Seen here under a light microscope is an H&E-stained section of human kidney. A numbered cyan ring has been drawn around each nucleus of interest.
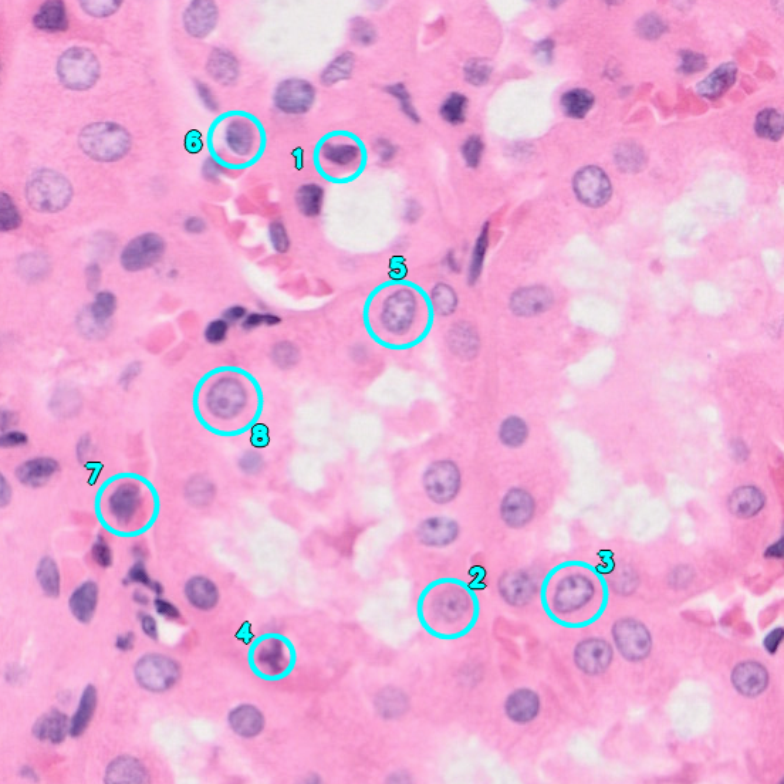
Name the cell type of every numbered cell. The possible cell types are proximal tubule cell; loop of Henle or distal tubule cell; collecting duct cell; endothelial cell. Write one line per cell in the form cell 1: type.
cell 1: loop of Henle or distal tubule cell
cell 2: proximal tubule cell
cell 3: proximal tubule cell
cell 4: proximal tubule cell
cell 5: proximal tubule cell
cell 6: endothelial cell
cell 7: endothelial cell
cell 8: proximal tubule cell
